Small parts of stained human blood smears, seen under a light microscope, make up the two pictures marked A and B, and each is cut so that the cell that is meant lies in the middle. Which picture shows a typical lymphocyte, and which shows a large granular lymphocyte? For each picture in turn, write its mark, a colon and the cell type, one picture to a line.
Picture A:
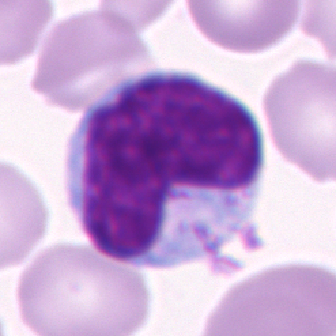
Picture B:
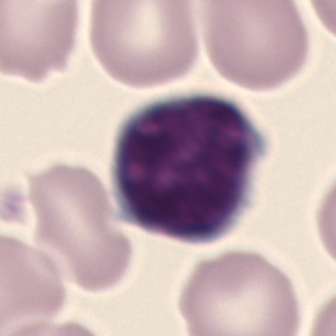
A: large granular lymphocyte
B: typical lymphocyte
